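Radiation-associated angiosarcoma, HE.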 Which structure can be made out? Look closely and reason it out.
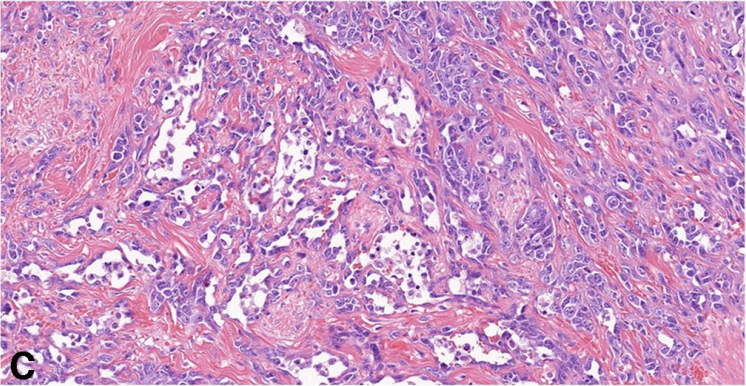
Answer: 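The channels are lined by crowded cells with enlarged dark nuclei.
Hence: asymmetrical vessels covered by atypical endothelial cells.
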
